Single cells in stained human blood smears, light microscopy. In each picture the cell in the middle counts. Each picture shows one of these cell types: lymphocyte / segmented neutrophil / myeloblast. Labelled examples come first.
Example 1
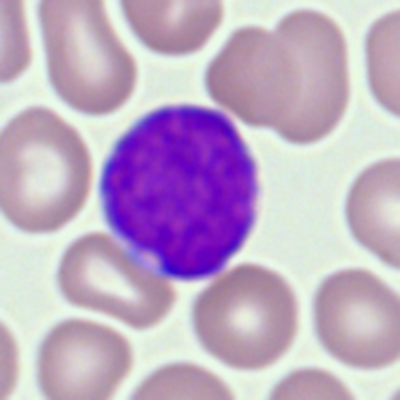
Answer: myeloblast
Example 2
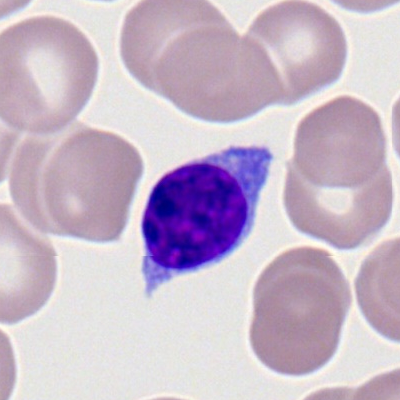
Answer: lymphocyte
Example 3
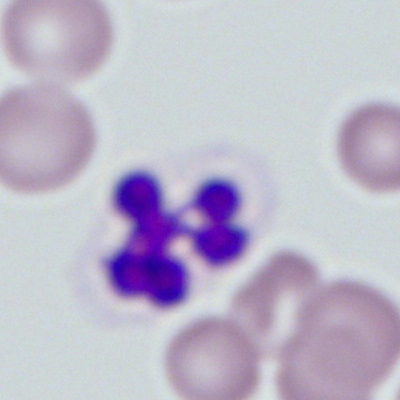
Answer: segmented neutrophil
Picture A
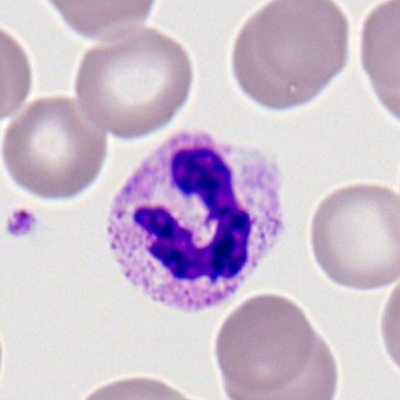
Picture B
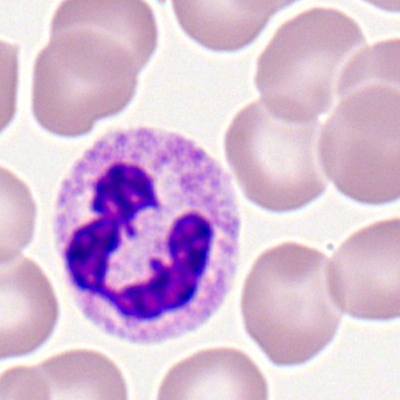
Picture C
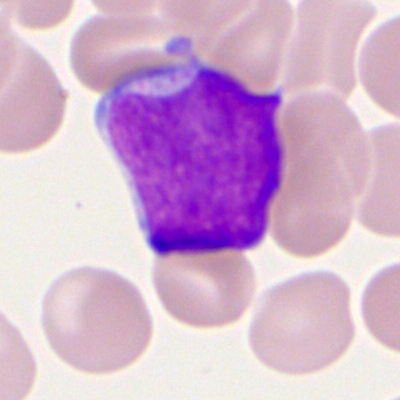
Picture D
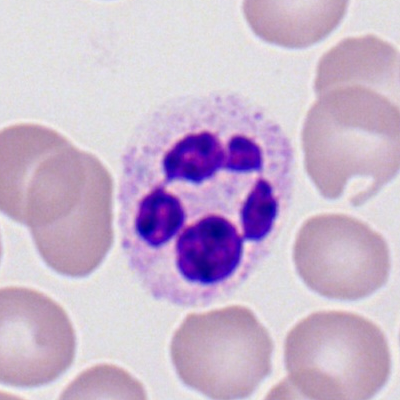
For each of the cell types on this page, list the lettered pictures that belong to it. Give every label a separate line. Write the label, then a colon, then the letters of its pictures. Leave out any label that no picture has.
segmented neutrophil: A, B, D
myeloblast: C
